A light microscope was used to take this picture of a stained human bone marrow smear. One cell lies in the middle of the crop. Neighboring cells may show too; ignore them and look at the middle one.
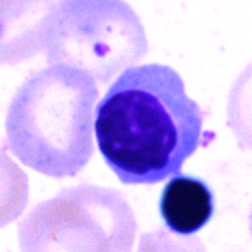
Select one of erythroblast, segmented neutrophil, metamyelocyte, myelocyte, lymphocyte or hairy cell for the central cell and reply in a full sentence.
In the crop, the cell of interest at the centre is an erythroblast.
